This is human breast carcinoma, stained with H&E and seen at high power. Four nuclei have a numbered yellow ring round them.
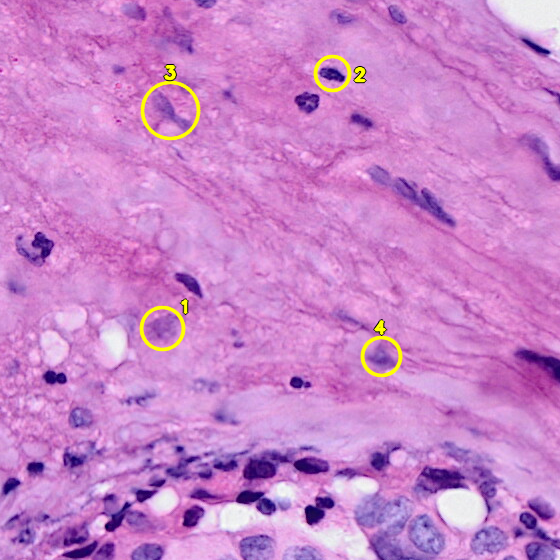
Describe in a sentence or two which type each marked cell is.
Cell 1 is a fibroblast, cell 2 is a lymphocyte, cell 3 is a fibroblast and cell 4 is a fibroblast.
